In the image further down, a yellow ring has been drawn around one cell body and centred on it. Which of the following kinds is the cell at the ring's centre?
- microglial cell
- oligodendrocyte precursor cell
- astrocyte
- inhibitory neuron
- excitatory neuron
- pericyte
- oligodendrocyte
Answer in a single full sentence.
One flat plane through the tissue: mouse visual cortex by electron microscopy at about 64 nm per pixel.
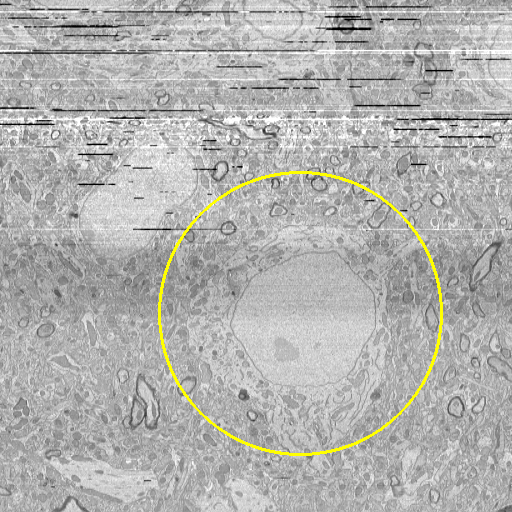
In the picture, the cell sitting at the centre of the yellow ring is an excitatory neuron.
